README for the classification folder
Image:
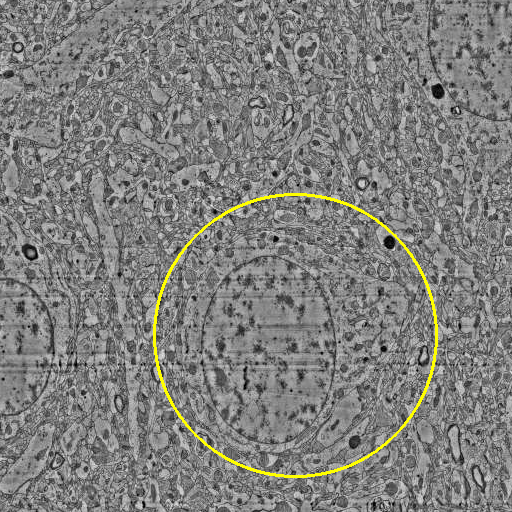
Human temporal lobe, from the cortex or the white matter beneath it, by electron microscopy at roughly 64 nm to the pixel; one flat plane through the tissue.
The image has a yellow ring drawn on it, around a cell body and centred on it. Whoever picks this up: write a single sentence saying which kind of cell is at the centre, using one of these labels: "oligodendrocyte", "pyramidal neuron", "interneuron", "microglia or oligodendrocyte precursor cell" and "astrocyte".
This cell body is that of a pyramidal neuron.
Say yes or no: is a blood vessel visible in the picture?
No, no blood vessel shows in the picture.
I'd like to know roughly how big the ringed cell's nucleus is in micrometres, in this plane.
Roughly 12 by 9 micrometres in this plane, for the nucleus of the ringed cell.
